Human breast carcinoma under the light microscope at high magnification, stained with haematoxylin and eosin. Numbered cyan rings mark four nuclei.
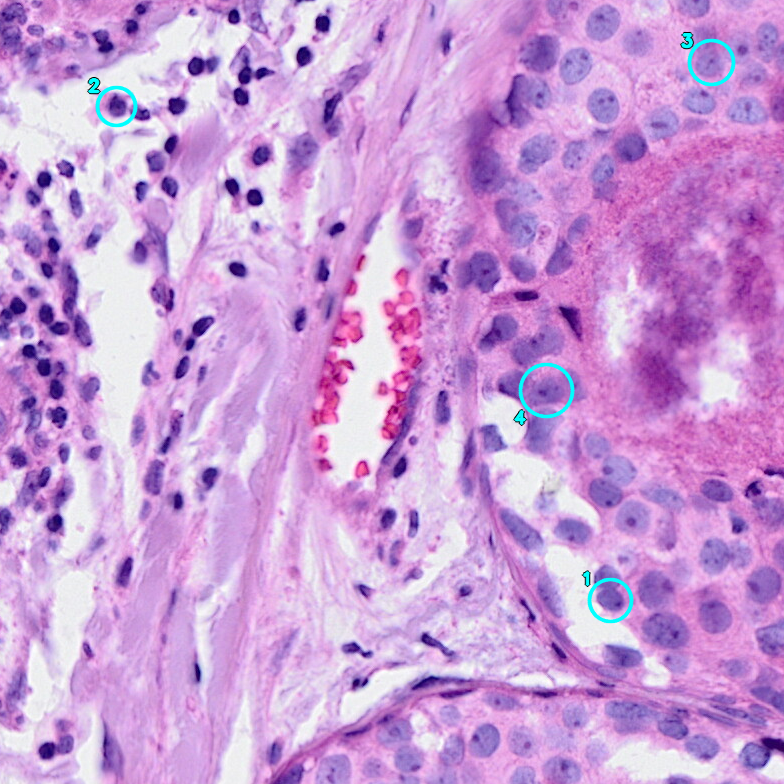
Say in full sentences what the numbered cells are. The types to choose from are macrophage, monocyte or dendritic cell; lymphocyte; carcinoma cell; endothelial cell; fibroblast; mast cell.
Cells 1, 3 and 4 are carcinoma cells. Cell 2 is a lymphocyte.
